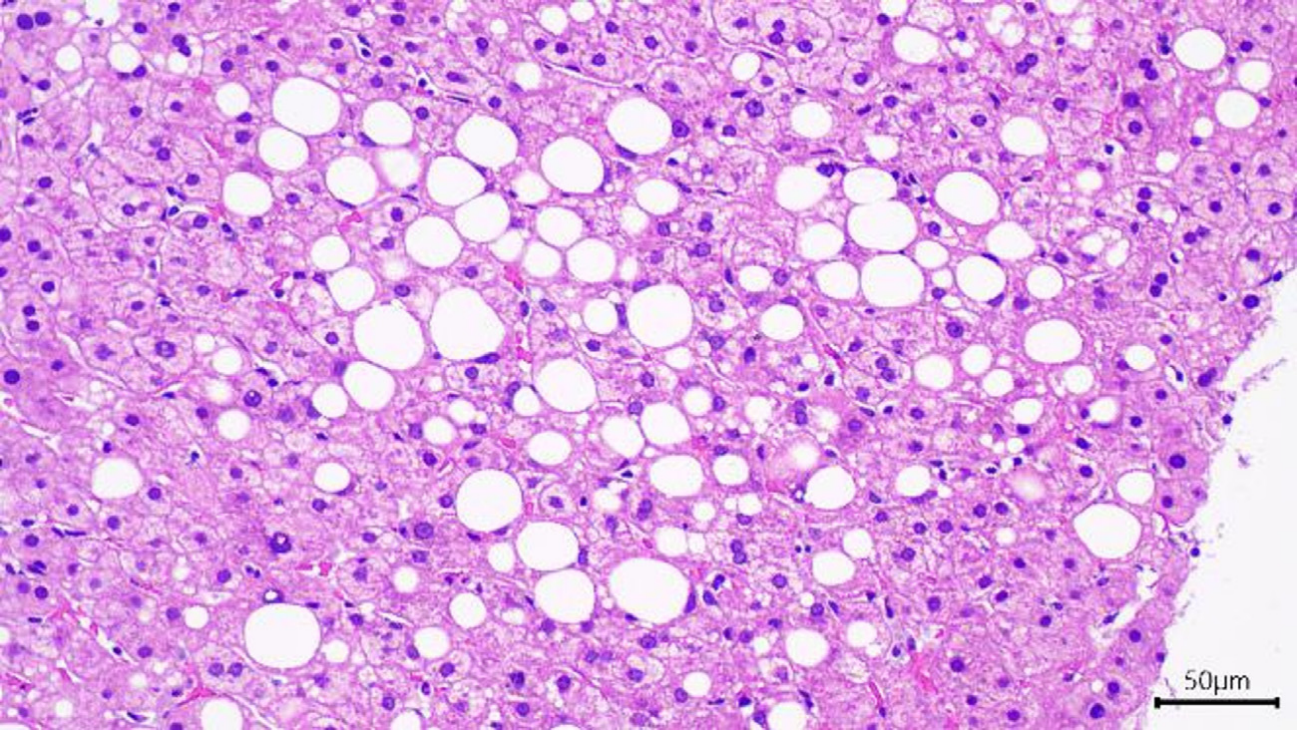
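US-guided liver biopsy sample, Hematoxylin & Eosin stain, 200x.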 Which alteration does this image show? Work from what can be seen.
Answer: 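Accumulation of fats. Many round, sharply outlined clear vacuoles lie within the cells. Vacuoles range from small droplets to large vacuoles filling much of a cell. In some cells with a large vacuole the nucleus is pushed to the edge.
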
